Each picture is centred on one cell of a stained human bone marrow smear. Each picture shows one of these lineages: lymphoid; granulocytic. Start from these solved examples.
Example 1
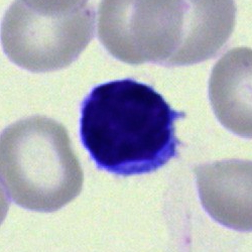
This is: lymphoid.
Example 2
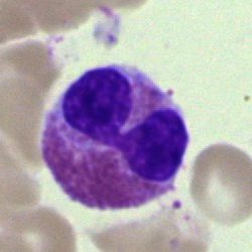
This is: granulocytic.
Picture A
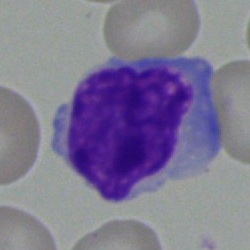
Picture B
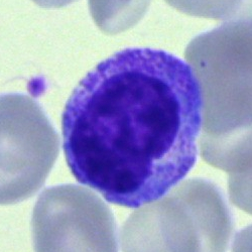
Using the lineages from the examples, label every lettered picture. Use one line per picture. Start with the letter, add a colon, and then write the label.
A: lymphoid.
B: granulocytic.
